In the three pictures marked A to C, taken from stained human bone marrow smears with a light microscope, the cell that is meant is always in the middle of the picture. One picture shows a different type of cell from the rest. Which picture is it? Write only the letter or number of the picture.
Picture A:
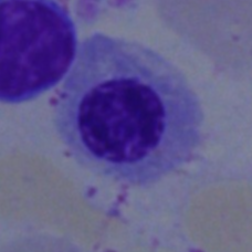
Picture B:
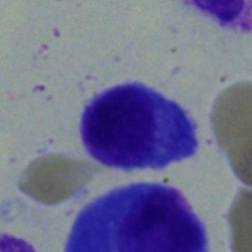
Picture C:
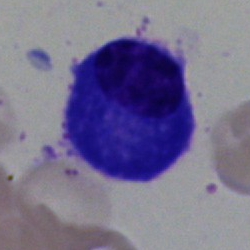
A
